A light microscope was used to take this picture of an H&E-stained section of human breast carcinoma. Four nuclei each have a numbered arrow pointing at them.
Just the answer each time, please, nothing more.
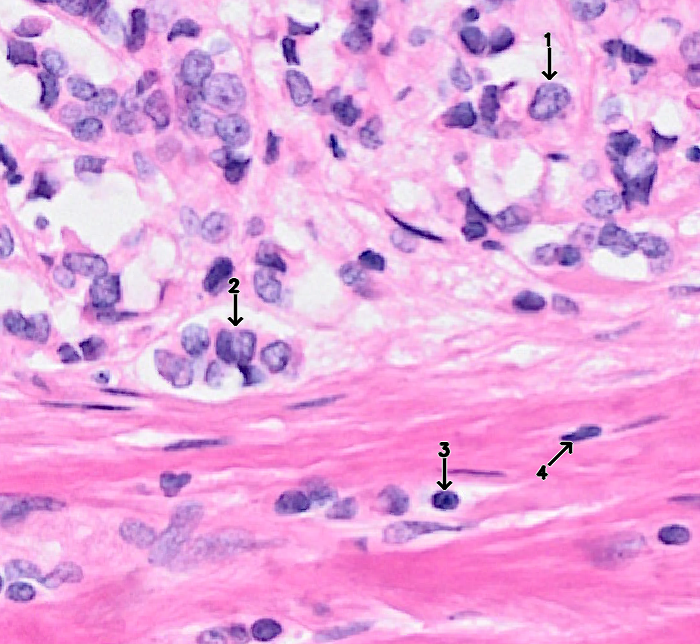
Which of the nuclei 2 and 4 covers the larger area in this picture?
2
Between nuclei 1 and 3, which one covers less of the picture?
3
